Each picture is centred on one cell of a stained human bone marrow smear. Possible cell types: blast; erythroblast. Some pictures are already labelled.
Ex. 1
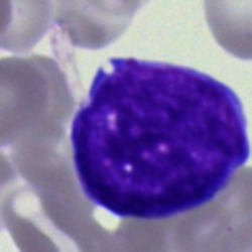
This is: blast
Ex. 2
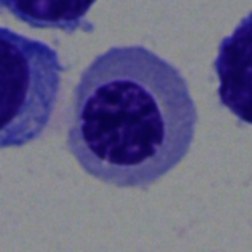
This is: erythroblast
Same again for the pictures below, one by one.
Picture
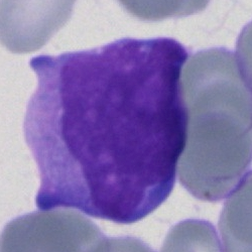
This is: blast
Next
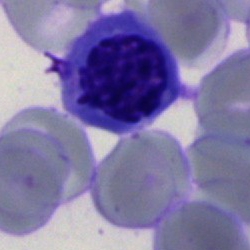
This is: erythroblast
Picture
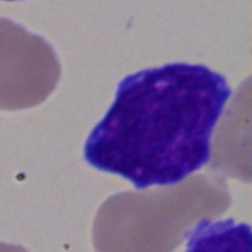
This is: blast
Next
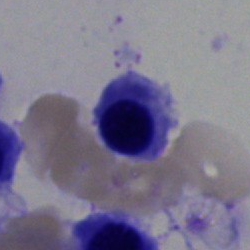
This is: erythroblast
